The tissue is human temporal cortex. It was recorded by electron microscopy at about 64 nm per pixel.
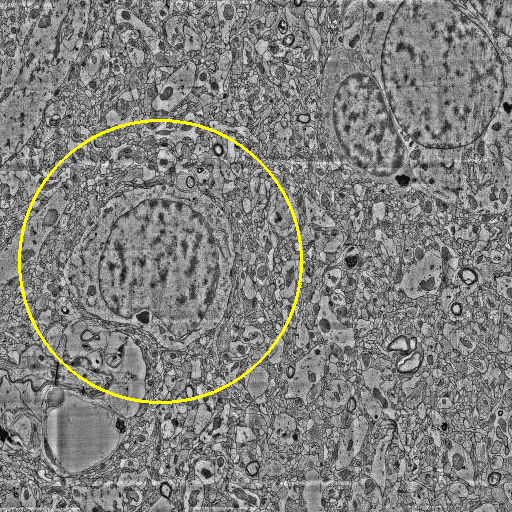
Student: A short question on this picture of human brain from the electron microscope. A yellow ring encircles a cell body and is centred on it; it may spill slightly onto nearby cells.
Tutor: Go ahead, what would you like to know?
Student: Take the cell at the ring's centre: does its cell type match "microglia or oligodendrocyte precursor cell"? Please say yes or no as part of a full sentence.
No, the cell found at the ring's centre in the picture has another cell type.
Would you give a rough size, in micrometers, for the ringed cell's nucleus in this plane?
In this plane, roughly 8 micrometres across.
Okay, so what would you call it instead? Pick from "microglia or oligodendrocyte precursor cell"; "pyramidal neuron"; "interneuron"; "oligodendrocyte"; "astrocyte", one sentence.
The cell marked by the ring is an interneuron.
